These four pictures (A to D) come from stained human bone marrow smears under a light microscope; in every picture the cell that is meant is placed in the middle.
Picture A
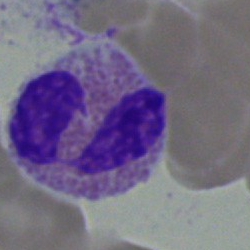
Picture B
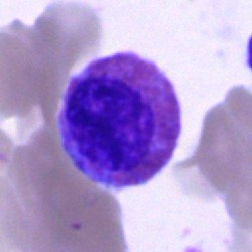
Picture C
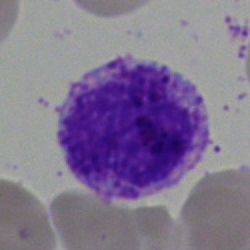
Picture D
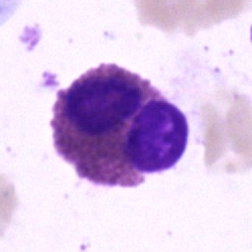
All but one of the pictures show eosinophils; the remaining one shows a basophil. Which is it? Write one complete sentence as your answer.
Picture C shows the basophil.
